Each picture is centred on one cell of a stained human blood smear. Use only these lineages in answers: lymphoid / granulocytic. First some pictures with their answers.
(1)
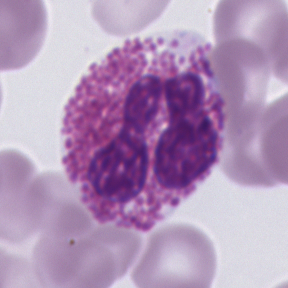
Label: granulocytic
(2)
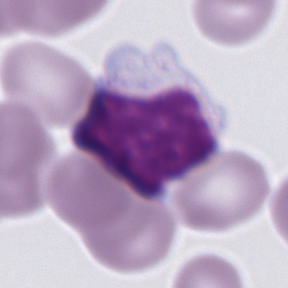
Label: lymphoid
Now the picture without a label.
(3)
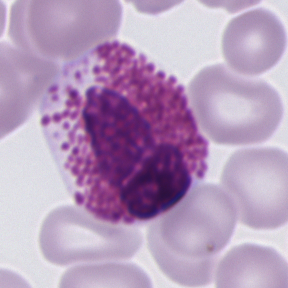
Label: granulocytic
